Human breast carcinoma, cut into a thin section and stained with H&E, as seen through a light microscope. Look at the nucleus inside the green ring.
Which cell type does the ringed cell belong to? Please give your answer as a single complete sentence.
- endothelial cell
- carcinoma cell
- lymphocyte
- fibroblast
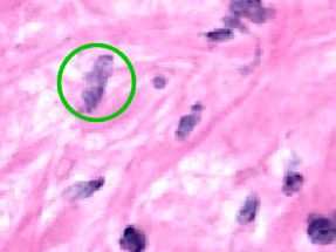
Microscopically, the ringed cell is categorized as a fibroblast.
